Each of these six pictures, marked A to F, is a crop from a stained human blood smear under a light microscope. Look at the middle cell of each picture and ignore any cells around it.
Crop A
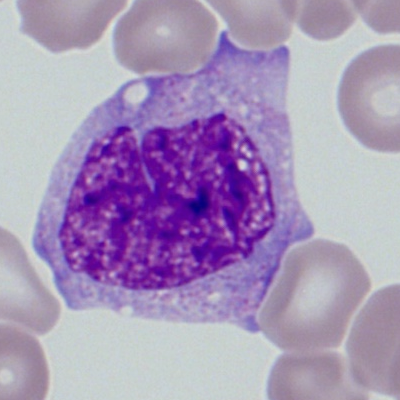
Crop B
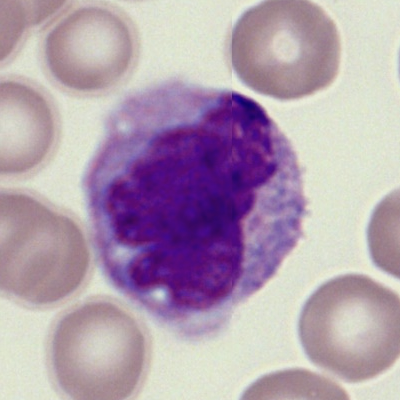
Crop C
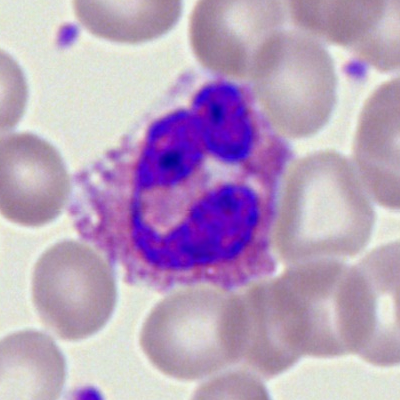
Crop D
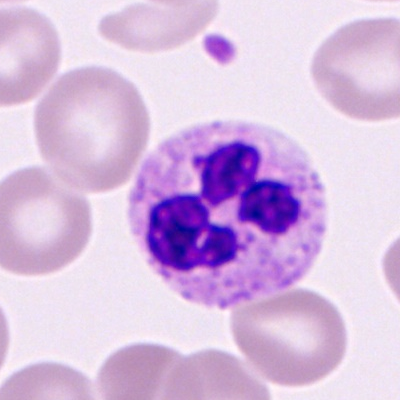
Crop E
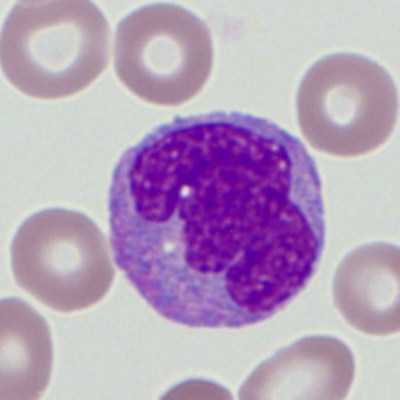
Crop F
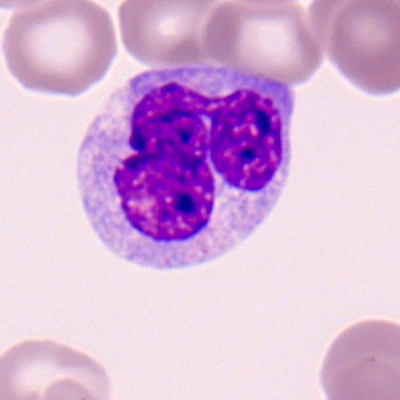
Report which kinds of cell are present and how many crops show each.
monocyte: 4
eosinophil: 1
segmented neutrophil: 1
